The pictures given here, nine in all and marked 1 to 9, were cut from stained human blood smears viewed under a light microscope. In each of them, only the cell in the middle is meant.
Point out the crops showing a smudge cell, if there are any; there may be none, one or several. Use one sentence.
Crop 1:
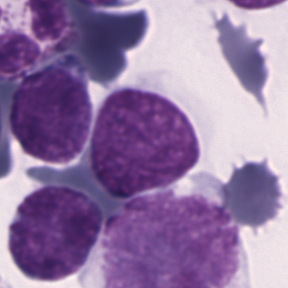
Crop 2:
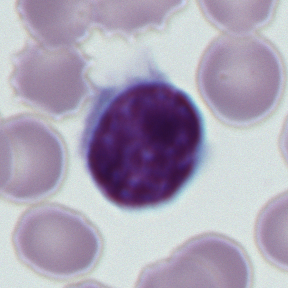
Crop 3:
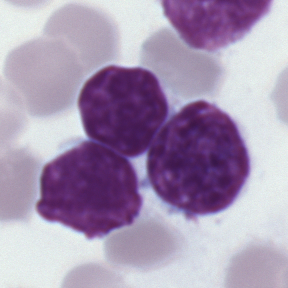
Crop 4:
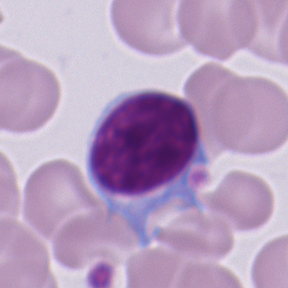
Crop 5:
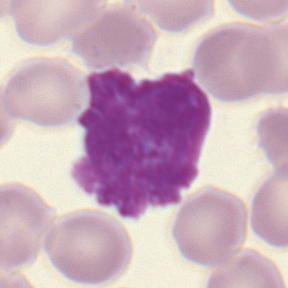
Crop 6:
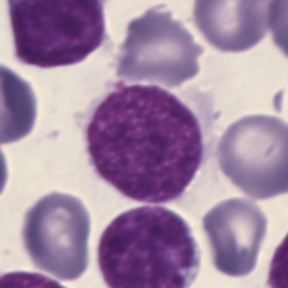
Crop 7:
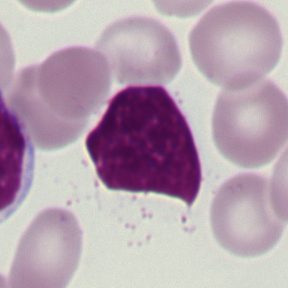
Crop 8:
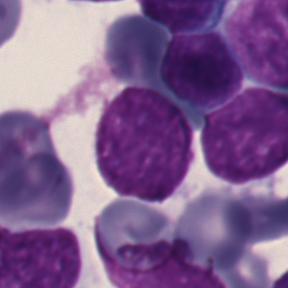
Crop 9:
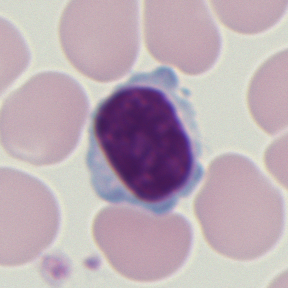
Looking at crops 5 and 7, the middle cells are smudge cells.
